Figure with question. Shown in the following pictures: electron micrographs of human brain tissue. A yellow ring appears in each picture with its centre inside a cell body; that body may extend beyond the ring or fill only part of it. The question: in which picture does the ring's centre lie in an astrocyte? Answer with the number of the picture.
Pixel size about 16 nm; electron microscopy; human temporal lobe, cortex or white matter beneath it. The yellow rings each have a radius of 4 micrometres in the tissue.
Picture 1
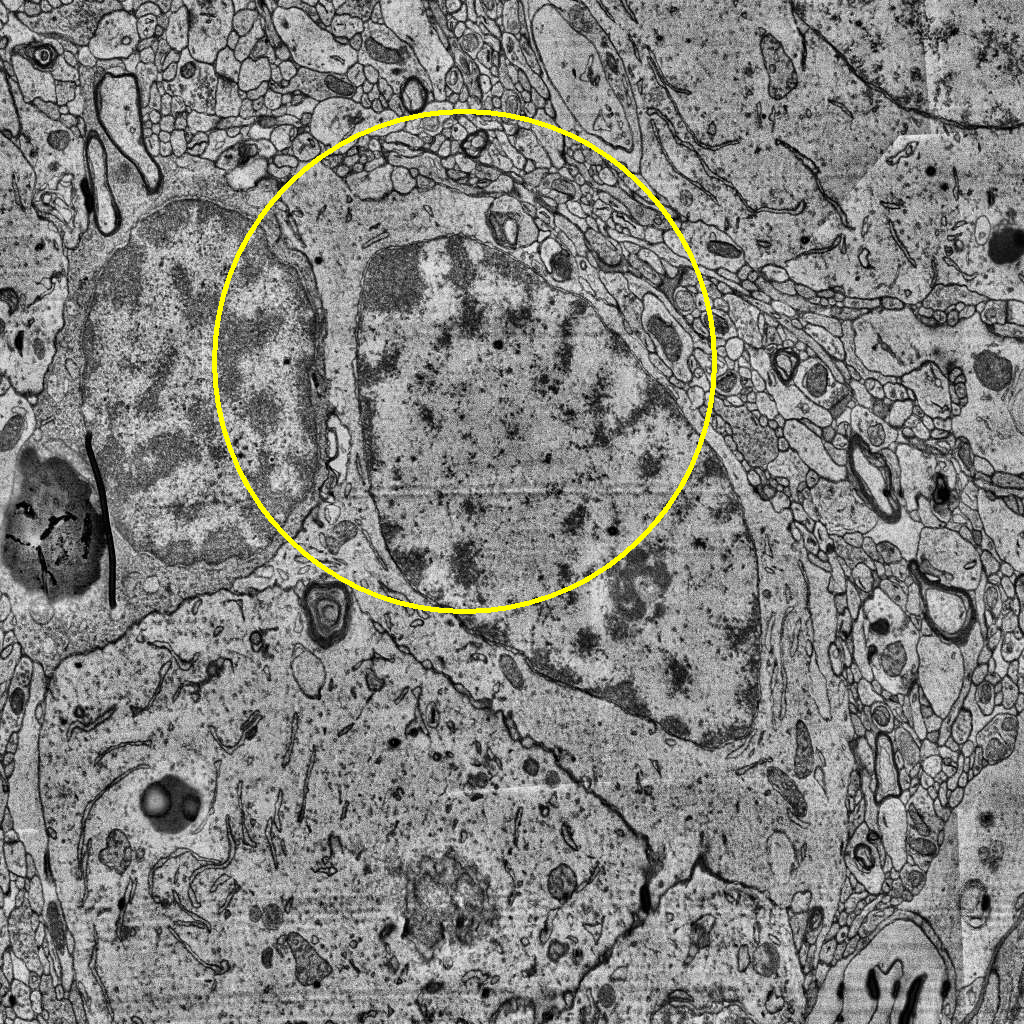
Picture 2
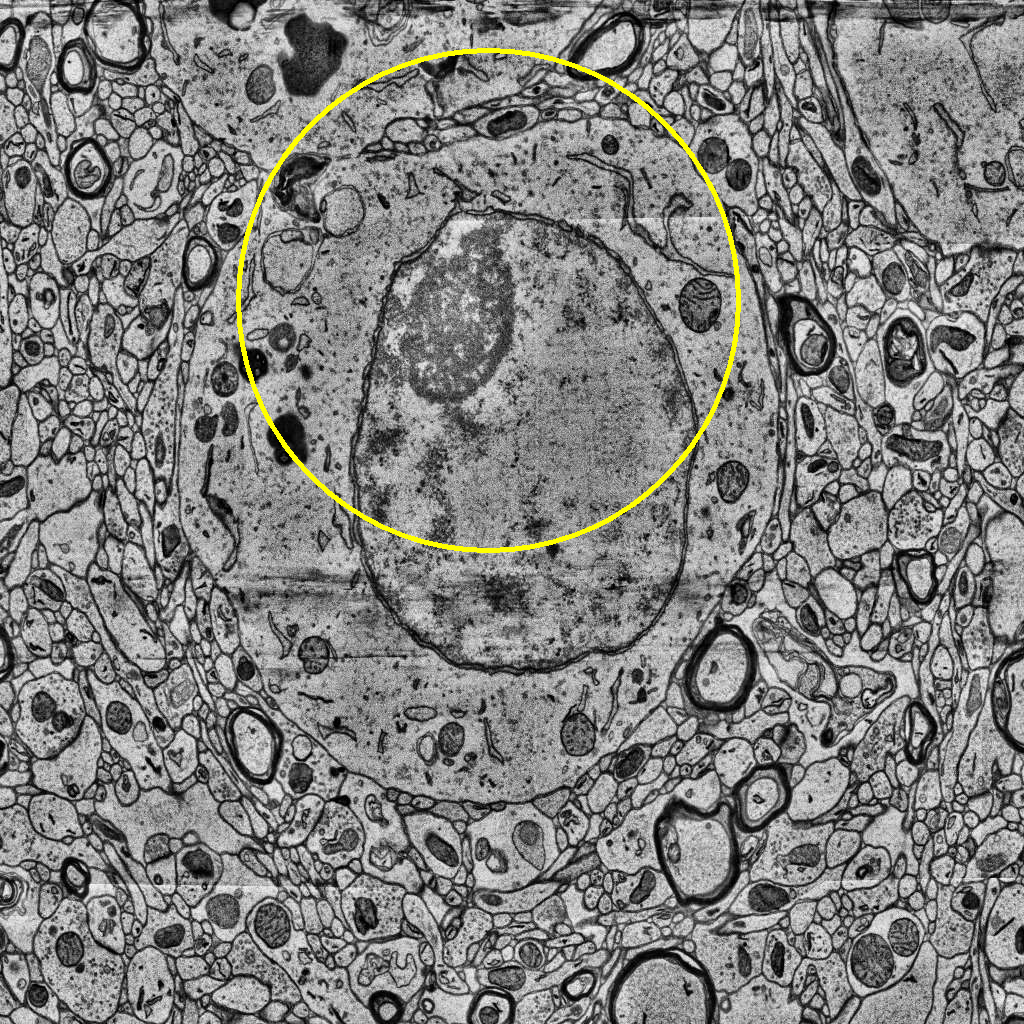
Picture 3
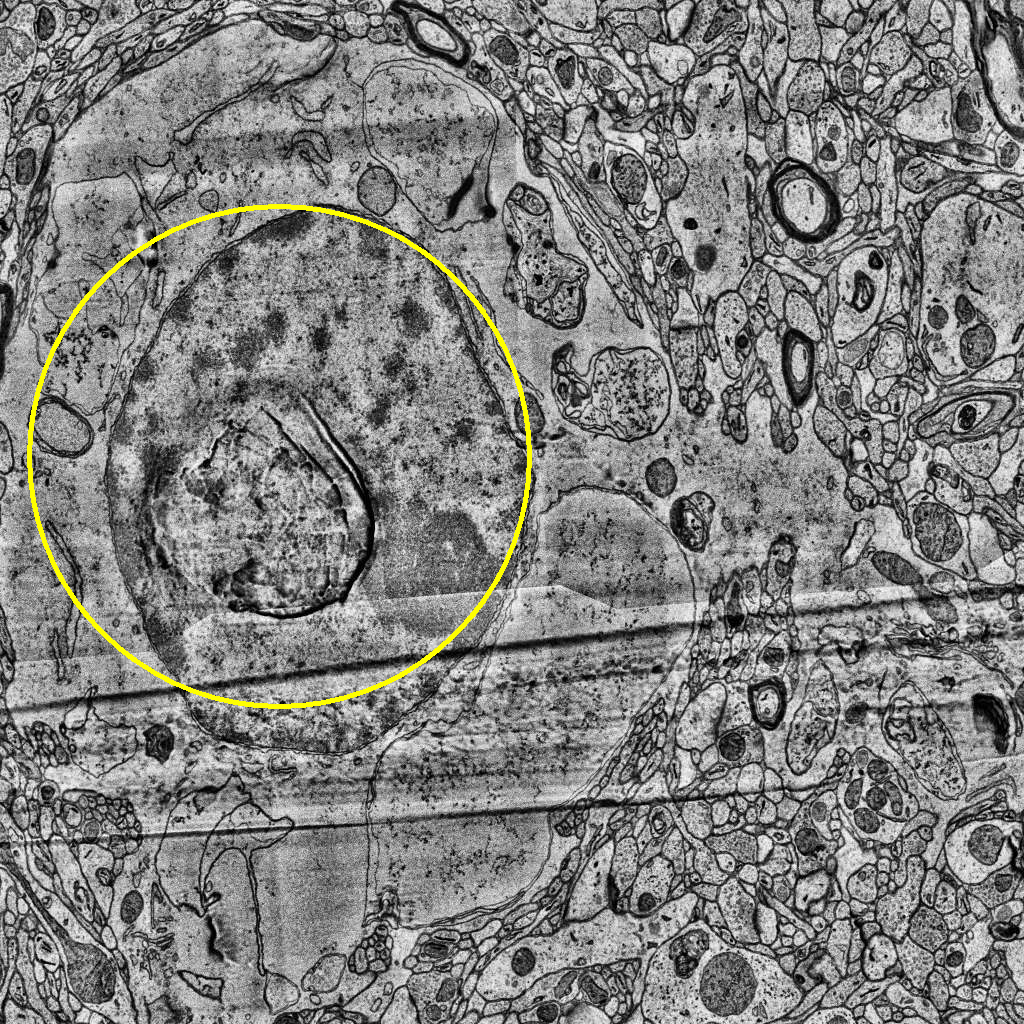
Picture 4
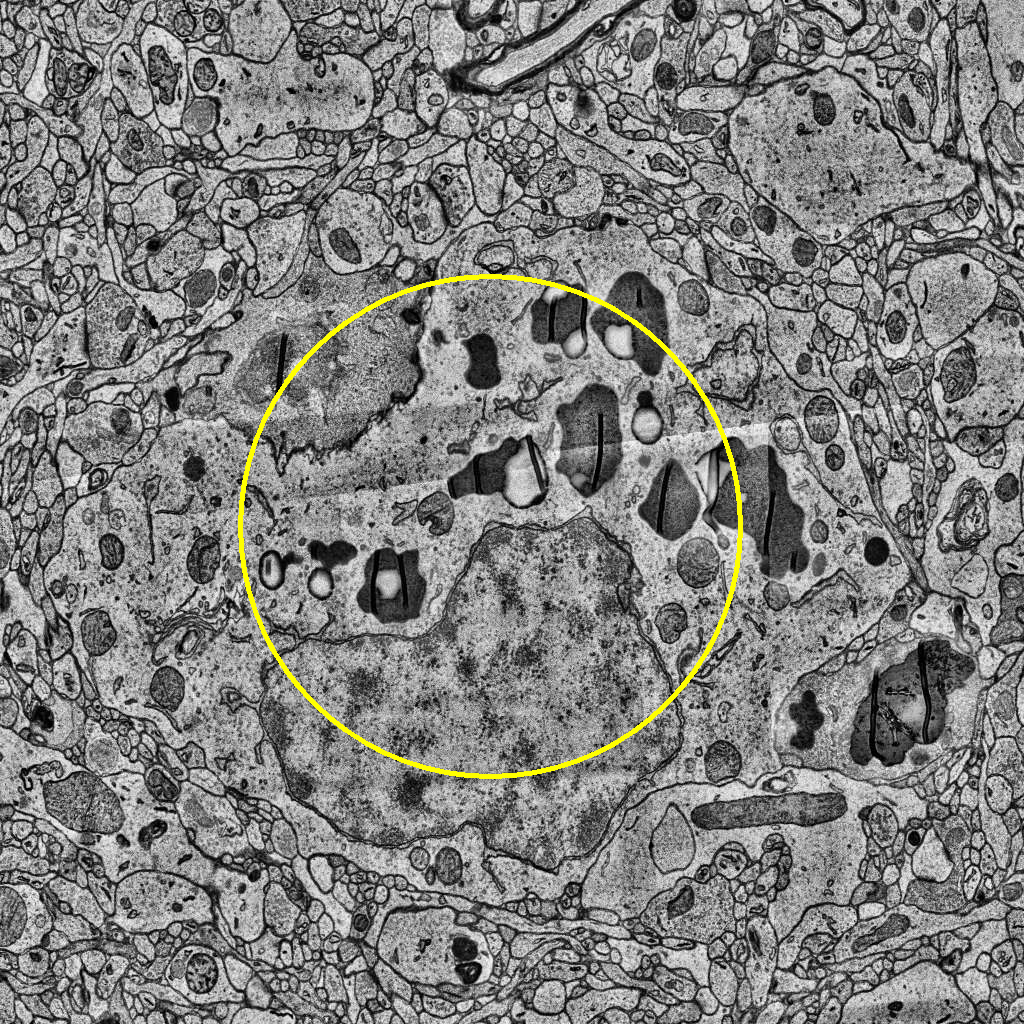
3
